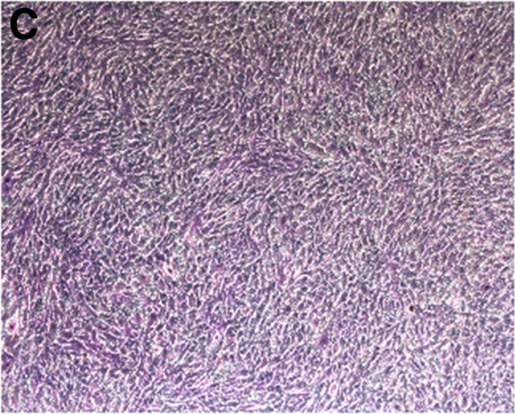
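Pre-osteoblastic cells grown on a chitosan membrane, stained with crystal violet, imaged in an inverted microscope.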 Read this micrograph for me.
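Most cells are slender and spindle-shaped. They lie side by side in streams and swirls that run in different directions across the field. The layer leaves no obvious gaps between cells.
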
